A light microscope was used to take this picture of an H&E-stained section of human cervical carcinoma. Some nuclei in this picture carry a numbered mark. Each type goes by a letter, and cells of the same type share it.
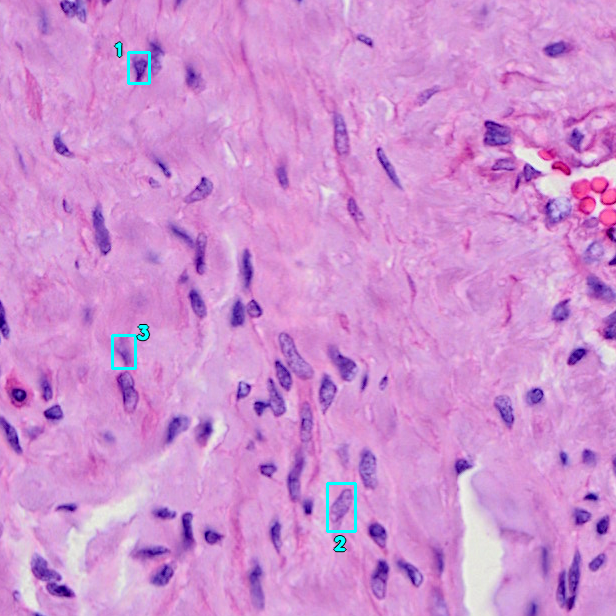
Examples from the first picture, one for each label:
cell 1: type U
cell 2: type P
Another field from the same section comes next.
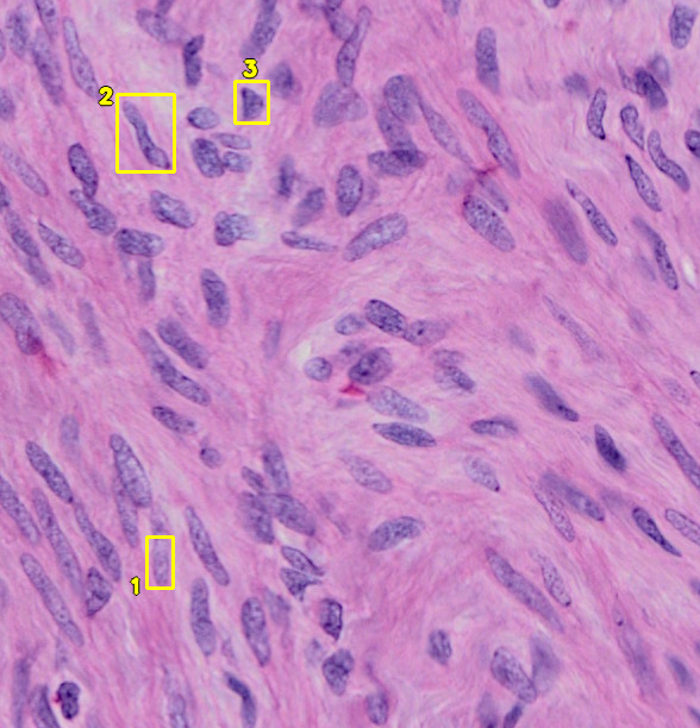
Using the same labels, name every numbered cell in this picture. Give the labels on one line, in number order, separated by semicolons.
type P; type P; type U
